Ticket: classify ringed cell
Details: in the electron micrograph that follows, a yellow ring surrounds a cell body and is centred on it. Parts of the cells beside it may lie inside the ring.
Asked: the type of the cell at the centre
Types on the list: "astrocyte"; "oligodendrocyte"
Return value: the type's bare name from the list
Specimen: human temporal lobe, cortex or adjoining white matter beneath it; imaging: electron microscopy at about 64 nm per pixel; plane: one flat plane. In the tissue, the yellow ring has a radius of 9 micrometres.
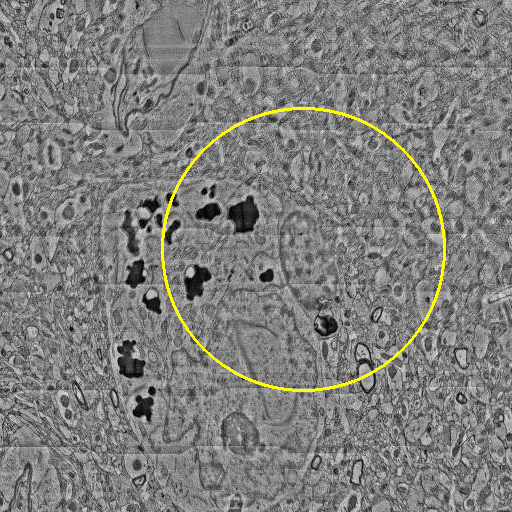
oligodendrocyte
